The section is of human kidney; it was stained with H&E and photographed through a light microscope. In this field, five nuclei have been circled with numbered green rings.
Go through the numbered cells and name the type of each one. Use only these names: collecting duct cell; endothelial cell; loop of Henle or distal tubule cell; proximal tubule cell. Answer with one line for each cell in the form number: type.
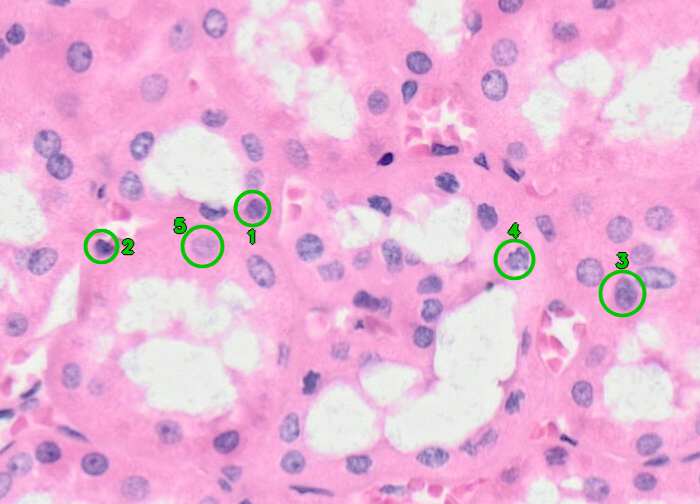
1: loop of Henle or distal tubule cell
2: endothelial cell
3: proximal tubule cell
4: loop of Henle or distal tubule cell
5: proximal tubule cell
